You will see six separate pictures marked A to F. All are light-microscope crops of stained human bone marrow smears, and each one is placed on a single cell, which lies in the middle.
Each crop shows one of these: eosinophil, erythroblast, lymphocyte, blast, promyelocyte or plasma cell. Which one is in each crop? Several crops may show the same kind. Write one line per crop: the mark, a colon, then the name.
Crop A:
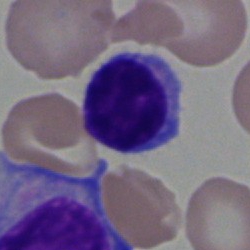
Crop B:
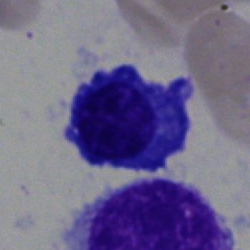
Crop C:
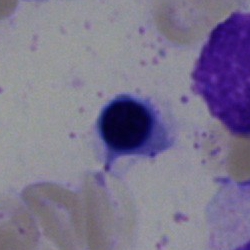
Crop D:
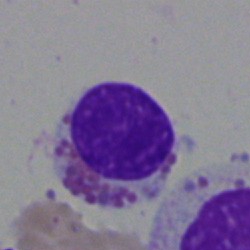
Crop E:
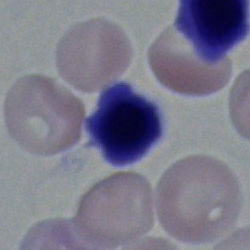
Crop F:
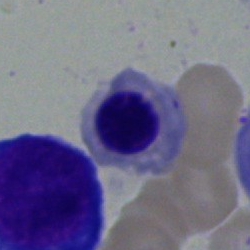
A: lymphocyte
B: plasma cell
C: erythroblast
D: eosinophil
E: erythroblast
F: erythroblast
